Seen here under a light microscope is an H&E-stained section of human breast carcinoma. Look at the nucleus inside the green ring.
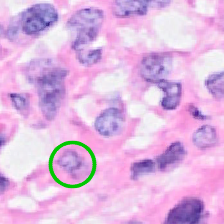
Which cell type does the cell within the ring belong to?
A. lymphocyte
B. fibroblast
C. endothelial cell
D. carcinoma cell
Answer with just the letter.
C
